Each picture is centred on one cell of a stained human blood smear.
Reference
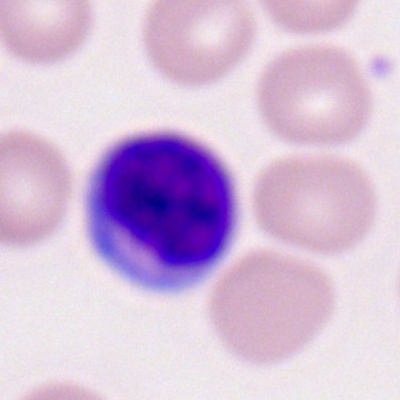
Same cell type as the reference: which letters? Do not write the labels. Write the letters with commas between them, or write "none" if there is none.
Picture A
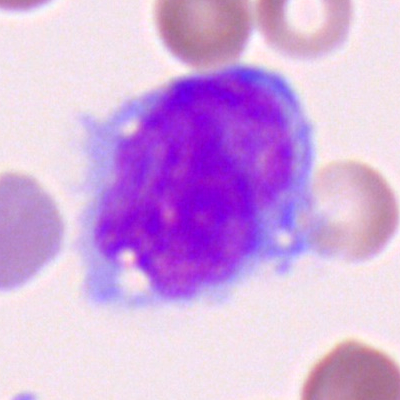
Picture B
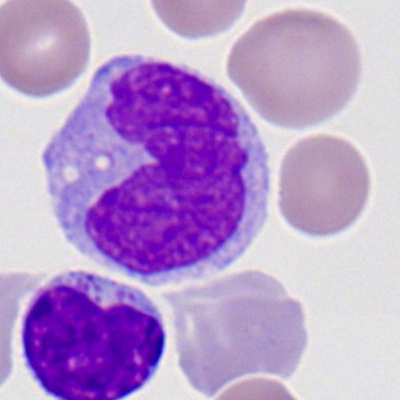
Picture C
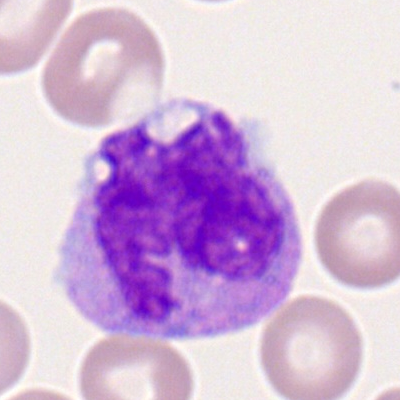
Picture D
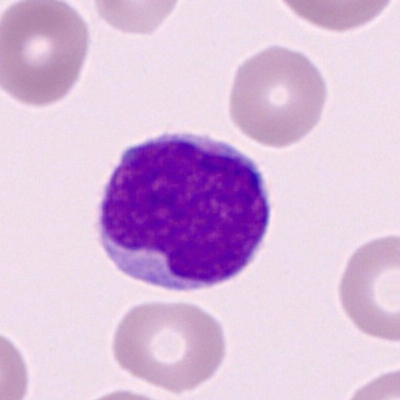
none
